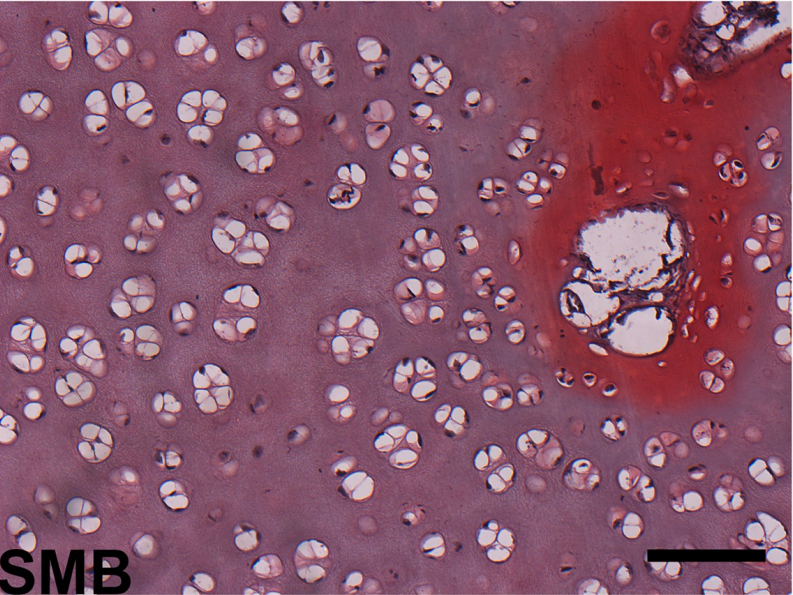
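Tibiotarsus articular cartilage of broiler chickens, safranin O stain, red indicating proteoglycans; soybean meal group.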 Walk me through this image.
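A smooth, glassy purple matrix holds many rounded, pale lacunae spread fairly evenly across the field. Many lacunae contain small clusters of two to four cells, divided by thin partitions, with small dark nuclei lying at their edges, while others hold a single cell. In the upper right a large irregular empty channel is surrounded by a broad zone of intense red staining, and a second opening appears at the upper edge.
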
